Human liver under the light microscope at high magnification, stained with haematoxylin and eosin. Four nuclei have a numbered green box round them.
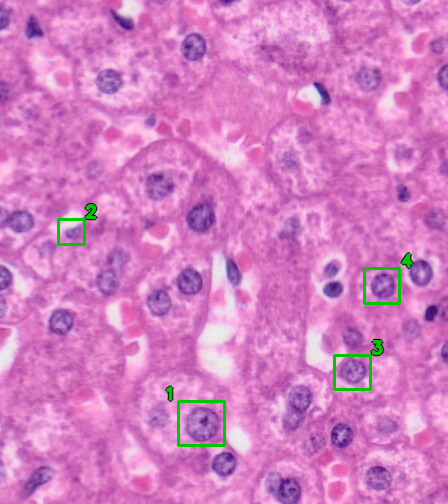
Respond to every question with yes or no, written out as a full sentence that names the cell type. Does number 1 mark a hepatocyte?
Yes, cell number 1 is classified as a hepatocyte.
